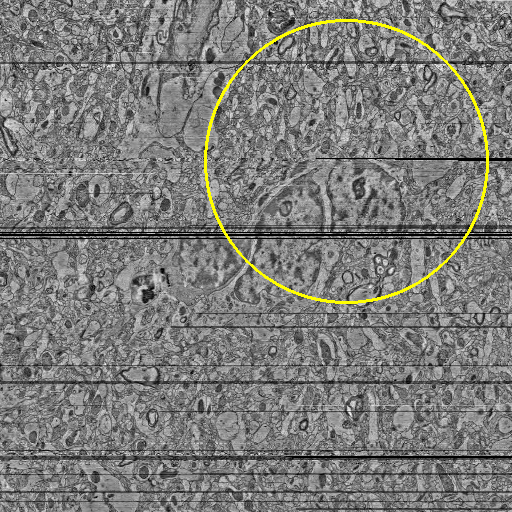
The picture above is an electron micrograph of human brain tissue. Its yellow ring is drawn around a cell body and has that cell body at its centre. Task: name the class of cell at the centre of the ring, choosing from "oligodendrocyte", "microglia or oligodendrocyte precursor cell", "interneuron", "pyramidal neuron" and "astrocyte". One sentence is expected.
The ring surrounds the body of a microglial cell or oligodendrocyte precursor cell.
